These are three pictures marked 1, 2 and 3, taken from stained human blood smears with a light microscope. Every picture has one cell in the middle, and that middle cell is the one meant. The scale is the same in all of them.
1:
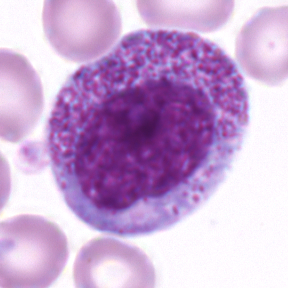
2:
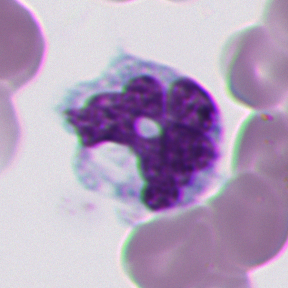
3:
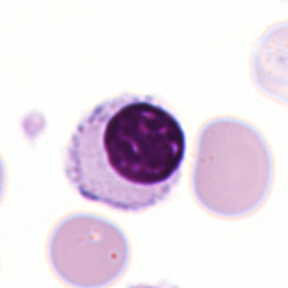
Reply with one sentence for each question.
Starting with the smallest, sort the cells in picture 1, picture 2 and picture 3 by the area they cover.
From the smallest up, the order is 3, 2, 1.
